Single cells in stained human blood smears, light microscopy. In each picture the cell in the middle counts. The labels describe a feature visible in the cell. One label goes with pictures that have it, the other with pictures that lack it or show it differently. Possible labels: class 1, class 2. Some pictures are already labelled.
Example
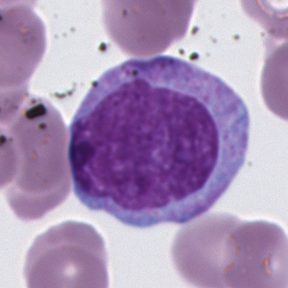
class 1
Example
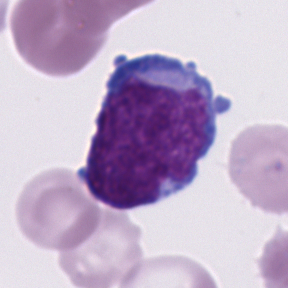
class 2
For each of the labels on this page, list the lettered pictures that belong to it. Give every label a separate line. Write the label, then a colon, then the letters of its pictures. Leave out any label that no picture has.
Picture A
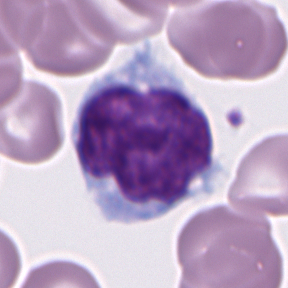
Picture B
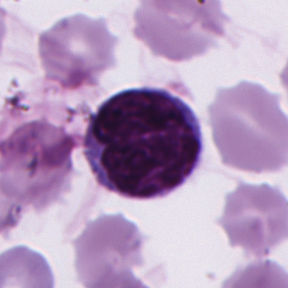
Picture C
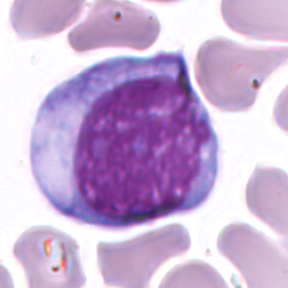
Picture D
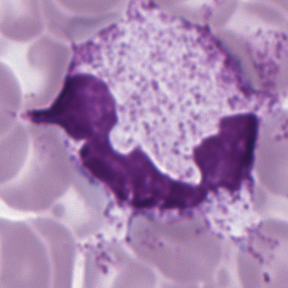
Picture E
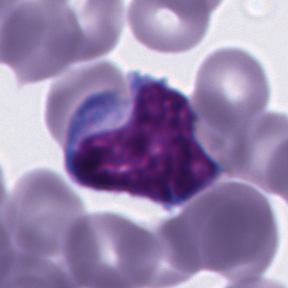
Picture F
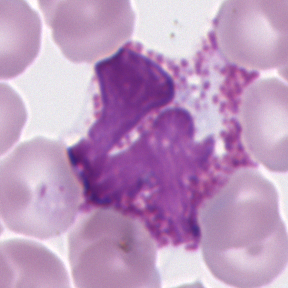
class 1: B
class 2: A, C, D, E, F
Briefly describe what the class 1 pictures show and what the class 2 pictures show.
In class 1: smooth outline. In class 2: ragged outline or projections.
